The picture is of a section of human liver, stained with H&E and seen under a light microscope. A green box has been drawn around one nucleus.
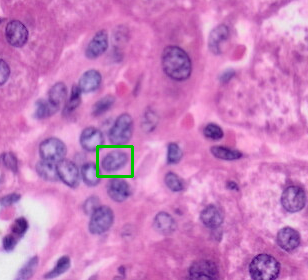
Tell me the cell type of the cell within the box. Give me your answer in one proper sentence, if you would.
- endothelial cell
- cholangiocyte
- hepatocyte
For the purposes of cell typing, the cell within the box is categorized as a cholangiocyte.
